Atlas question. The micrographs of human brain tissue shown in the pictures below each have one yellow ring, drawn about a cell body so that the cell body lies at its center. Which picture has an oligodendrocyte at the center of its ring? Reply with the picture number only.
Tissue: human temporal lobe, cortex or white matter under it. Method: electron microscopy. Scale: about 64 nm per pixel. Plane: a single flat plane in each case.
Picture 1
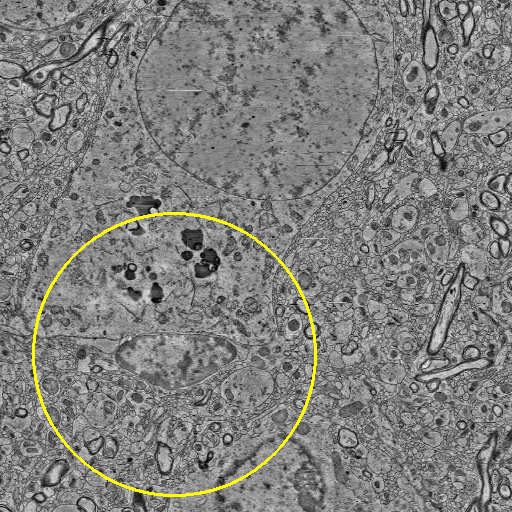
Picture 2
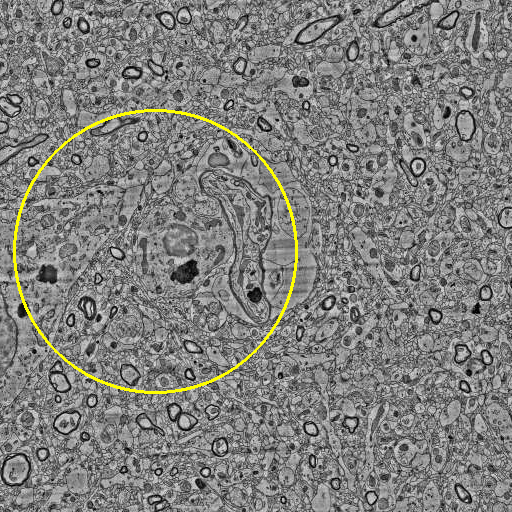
2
